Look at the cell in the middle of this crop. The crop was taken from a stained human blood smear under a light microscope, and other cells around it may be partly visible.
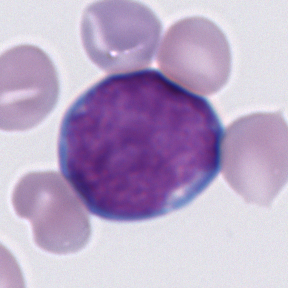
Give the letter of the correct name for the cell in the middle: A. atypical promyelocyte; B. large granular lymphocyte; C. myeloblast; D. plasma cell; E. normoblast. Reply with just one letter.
C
